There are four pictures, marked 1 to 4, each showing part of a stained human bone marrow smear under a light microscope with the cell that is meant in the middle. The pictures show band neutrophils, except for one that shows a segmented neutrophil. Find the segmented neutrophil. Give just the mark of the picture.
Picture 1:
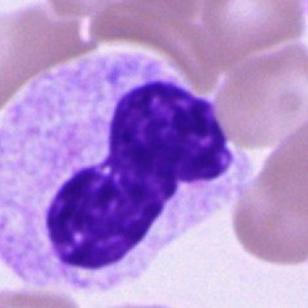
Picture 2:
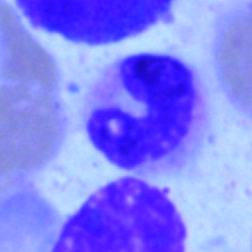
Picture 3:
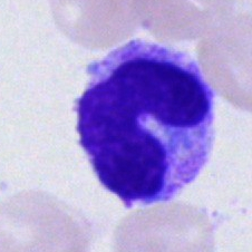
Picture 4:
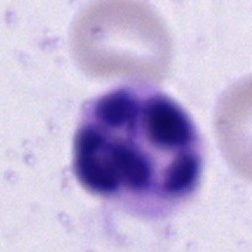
4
